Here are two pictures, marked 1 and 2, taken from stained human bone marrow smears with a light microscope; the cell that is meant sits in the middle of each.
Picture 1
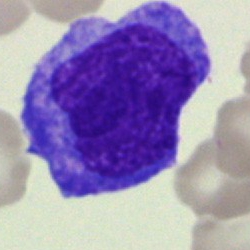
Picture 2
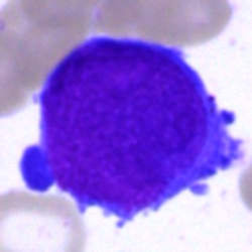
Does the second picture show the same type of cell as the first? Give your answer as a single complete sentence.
Yes; the cells in both pictures are blasts.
